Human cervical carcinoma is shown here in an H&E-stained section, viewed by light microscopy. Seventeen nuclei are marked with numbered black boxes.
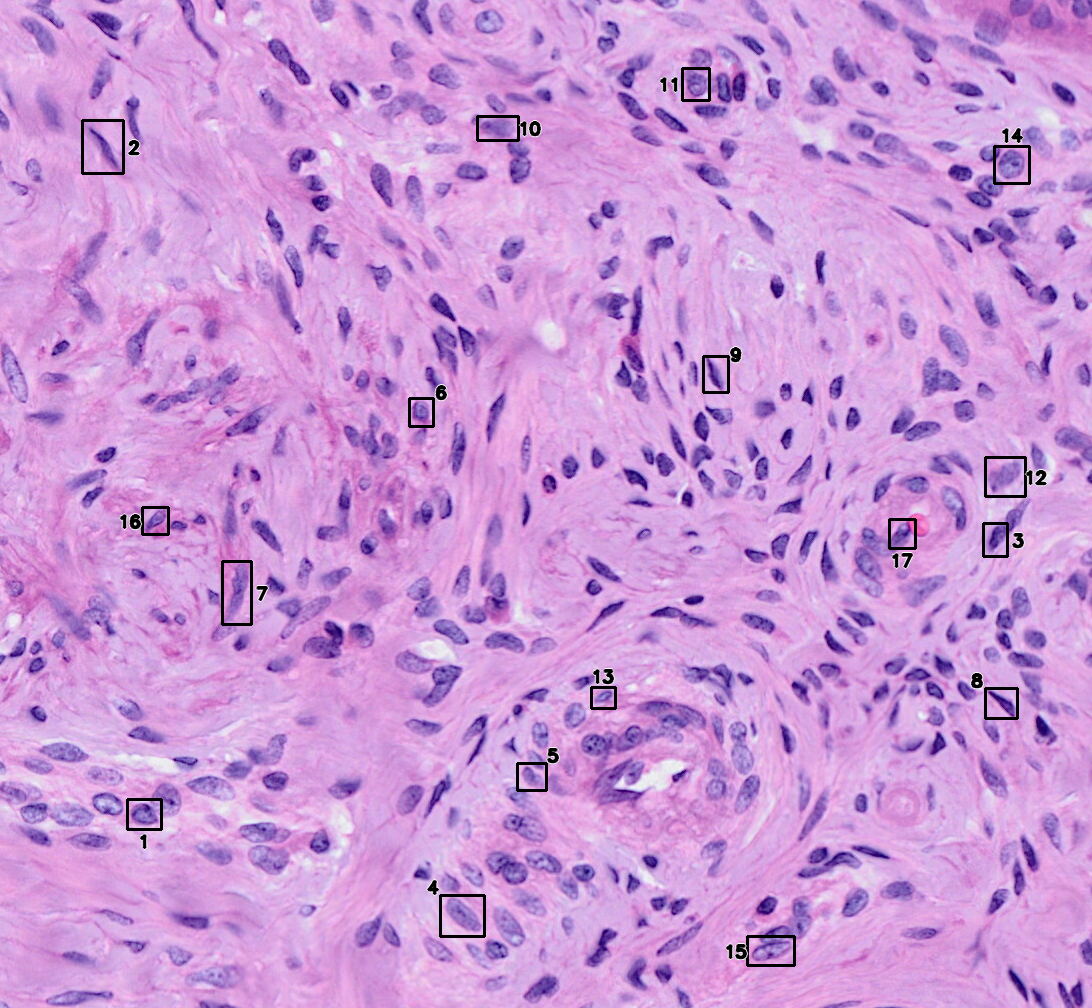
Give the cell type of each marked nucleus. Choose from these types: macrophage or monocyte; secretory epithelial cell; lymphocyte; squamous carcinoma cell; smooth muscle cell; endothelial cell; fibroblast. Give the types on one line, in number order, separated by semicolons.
endothelial cell; fibroblast; fibroblast; smooth muscle cell; smooth muscle cell; smooth muscle cell; smooth muscle cell; fibroblast; fibroblast; fibroblast; endothelial cell; fibroblast; smooth muscle cell; endothelial cell; endothelial cell; smooth muscle cell; endothelial cell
